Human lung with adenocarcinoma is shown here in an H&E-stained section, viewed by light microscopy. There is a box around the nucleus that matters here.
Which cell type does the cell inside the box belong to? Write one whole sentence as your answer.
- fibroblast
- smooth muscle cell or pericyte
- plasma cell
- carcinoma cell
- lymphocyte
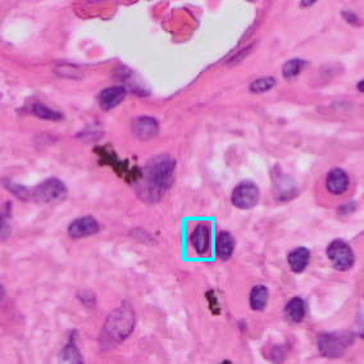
At the level of cell identity, the cell inside the box is a plasma cell.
